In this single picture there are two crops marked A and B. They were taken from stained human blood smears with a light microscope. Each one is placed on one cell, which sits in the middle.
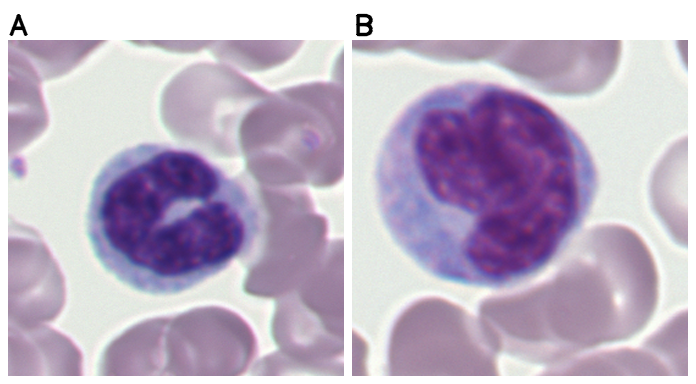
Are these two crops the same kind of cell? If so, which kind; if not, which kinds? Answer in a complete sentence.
Yes, monocytes are the central cells in the two crops.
